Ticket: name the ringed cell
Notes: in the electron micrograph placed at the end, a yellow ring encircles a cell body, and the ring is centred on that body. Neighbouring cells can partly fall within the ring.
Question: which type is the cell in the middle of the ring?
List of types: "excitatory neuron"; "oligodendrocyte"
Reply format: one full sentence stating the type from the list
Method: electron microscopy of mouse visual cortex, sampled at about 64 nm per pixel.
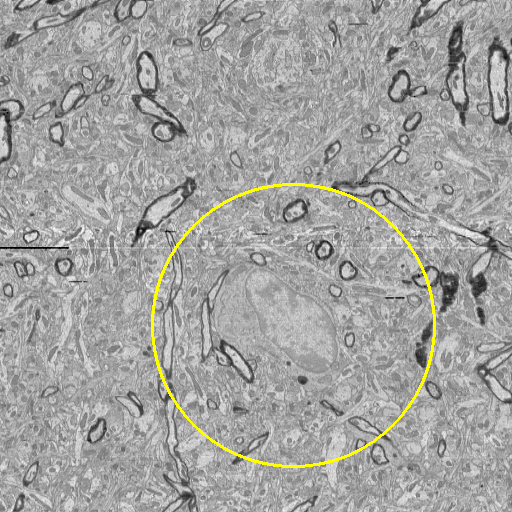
The cell sitting at the centre of the yellow ring is an oligodendrocyte.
